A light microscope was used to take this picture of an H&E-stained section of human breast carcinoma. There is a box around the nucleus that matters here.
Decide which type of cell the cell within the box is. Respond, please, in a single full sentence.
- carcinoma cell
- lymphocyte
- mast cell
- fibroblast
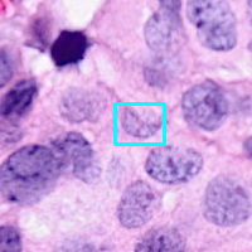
In the tissue at hand, the cell within the box is a carcinoma cell.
